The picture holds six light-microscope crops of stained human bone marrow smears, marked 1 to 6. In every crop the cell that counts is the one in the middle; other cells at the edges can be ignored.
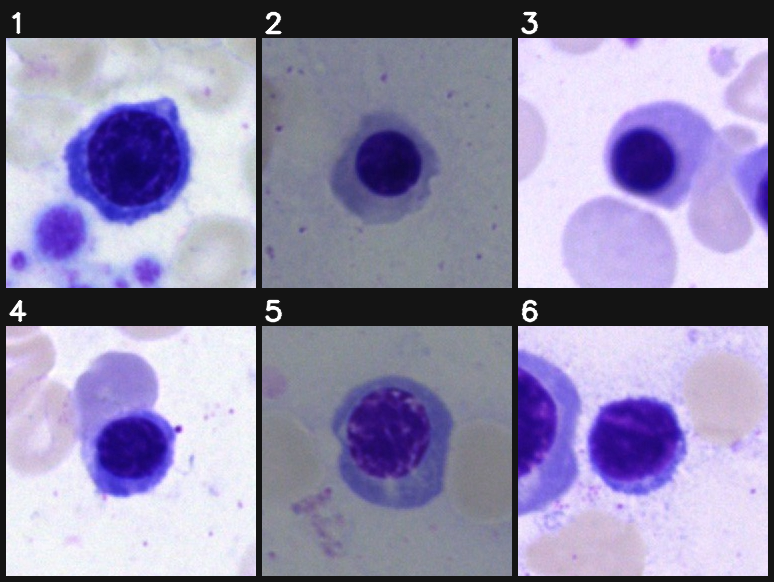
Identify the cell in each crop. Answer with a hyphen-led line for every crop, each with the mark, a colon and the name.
- 1: normoblast
- 2: normoblast
- 3: normoblast
- 4: normoblast
- 5: normoblast
- 6: lymphocyte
